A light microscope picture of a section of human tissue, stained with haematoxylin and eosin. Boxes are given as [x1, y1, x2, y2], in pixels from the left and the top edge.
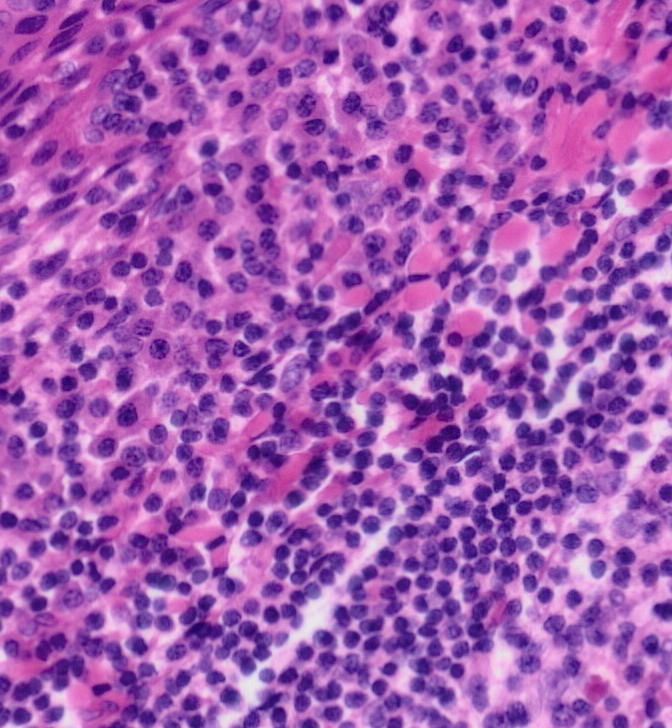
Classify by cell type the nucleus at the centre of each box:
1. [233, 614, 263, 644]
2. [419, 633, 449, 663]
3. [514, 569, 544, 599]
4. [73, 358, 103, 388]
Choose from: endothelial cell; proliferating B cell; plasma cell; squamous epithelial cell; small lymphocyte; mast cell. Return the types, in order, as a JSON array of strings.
["small lymphocyte", "small lymphocyte", "small lymphocyte", "plasma cell"]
